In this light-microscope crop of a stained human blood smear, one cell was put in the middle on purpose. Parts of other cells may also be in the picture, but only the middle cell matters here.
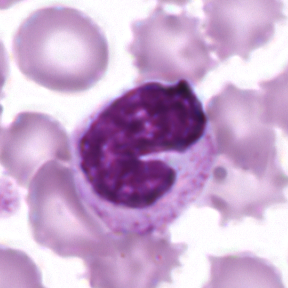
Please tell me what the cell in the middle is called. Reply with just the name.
band neutrophil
